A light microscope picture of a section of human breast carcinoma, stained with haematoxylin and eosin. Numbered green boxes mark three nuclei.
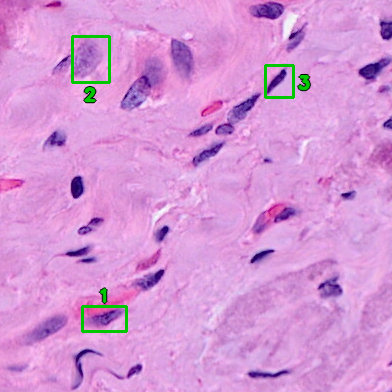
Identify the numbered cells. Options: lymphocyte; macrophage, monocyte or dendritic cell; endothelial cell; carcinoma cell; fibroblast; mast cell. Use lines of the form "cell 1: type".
cell 1: endothelial cell
cell 2: fibroblast
cell 3: fibroblast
